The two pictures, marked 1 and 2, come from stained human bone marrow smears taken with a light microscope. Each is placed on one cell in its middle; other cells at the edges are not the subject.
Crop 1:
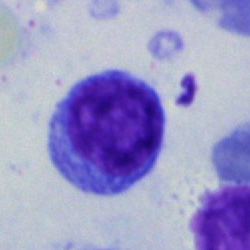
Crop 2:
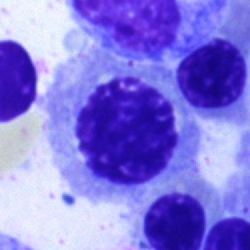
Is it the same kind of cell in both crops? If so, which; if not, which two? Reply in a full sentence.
No, a lymphocyte lies at the centre of crop 1, and an erythroblast lies at the centre of crop 2.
